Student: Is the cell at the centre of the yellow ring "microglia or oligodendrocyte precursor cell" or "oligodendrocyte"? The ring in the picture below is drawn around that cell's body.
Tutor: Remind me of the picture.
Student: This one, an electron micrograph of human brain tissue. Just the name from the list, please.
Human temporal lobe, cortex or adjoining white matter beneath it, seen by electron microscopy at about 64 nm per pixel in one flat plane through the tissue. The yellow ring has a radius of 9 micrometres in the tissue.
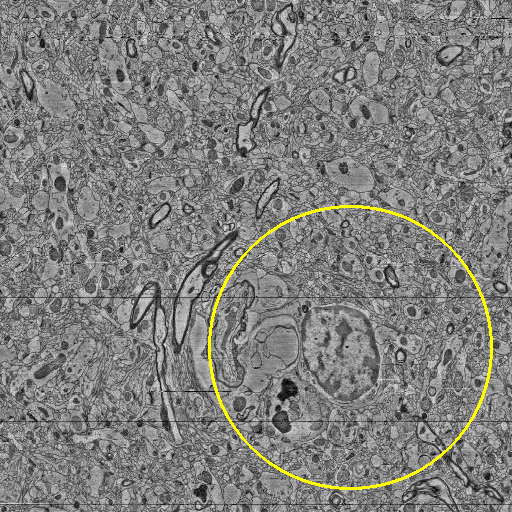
microglia or oligodendrocyte precursor cell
